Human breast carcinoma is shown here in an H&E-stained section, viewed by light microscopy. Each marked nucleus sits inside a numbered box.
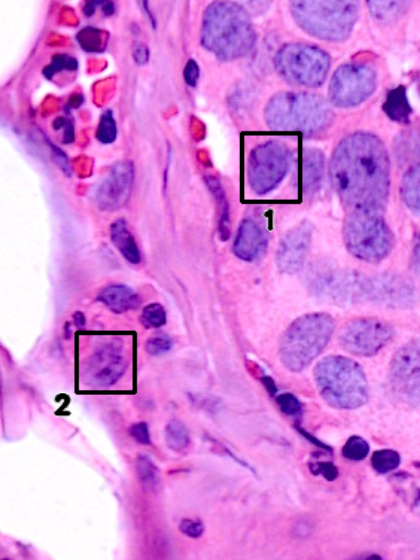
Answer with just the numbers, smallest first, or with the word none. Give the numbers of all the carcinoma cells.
1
